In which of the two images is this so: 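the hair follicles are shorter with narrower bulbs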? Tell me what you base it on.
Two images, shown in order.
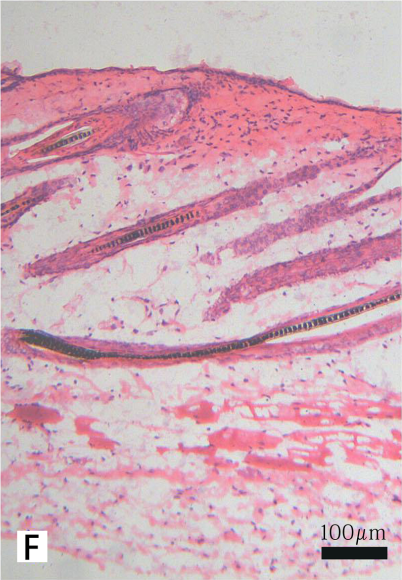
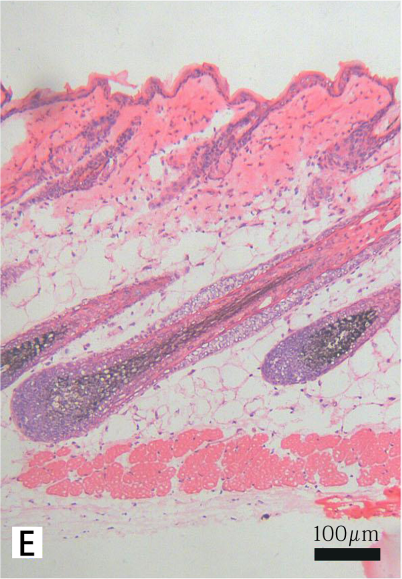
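The first image. Second image: follicles end in wide rounded purple pigmented bulbs deep in the fat, near the muscle layer.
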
